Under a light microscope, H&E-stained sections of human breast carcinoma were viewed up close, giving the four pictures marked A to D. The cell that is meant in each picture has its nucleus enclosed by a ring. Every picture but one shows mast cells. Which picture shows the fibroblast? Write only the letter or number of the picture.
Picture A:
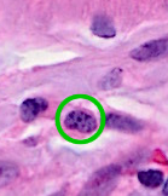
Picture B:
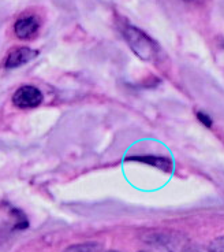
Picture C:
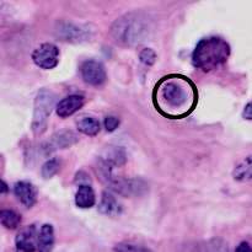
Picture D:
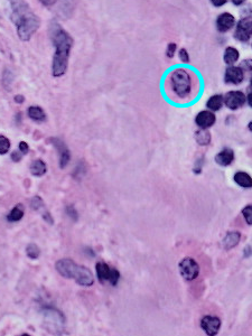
B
